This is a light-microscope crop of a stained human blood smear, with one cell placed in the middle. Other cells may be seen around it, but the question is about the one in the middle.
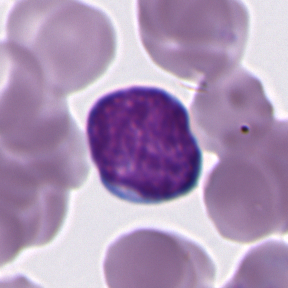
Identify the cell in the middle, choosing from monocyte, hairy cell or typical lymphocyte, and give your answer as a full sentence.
The cell of interest, located centrally, is a typical lymphocyte.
